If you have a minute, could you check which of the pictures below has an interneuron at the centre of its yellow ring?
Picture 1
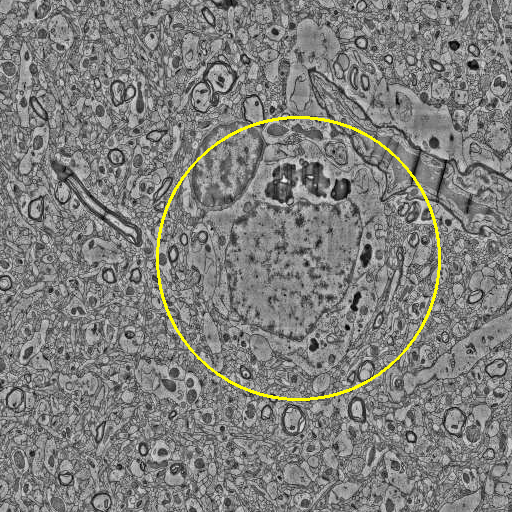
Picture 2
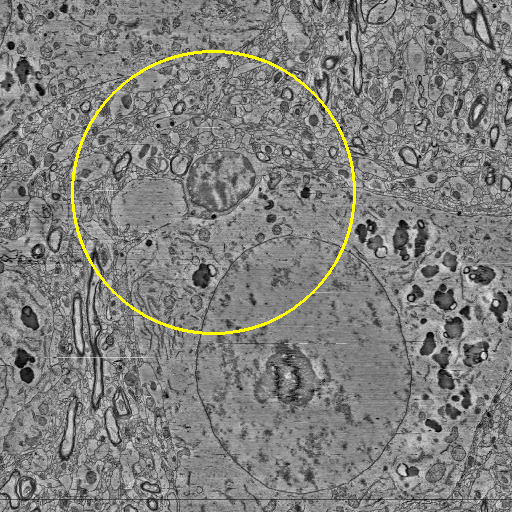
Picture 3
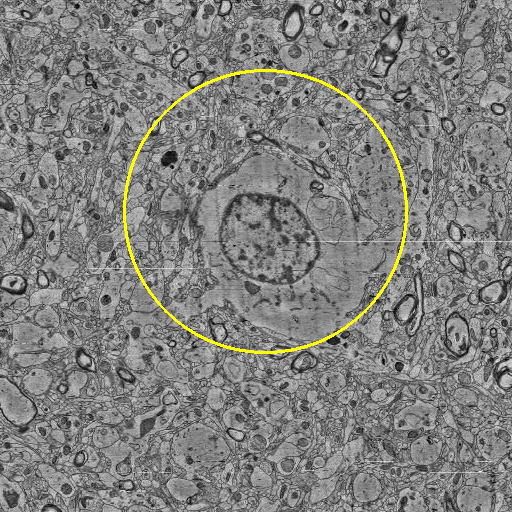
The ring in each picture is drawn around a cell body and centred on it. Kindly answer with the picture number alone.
1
